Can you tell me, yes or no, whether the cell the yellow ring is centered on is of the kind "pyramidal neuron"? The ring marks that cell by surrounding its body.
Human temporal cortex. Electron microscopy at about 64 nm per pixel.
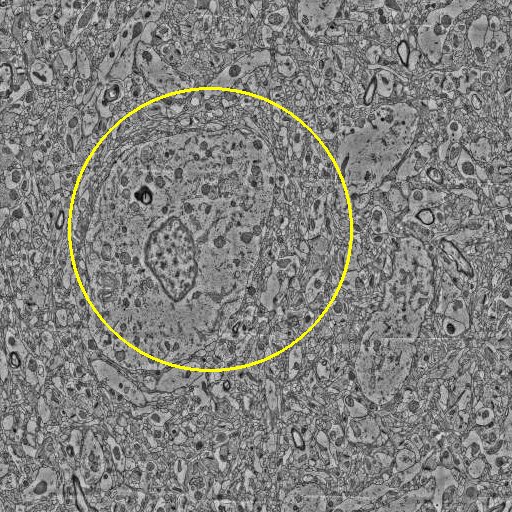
yes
